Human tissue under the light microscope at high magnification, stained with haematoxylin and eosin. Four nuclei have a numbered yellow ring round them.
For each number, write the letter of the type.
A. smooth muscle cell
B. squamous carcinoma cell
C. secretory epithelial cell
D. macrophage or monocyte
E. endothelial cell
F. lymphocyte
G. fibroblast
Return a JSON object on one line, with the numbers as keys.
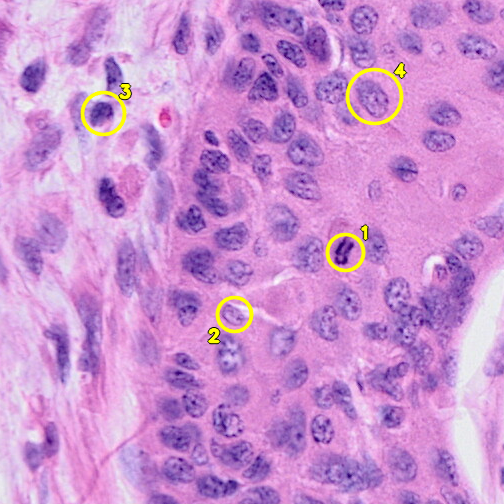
{"1": "B", "2": "B", "3": "F", "4": "B"}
